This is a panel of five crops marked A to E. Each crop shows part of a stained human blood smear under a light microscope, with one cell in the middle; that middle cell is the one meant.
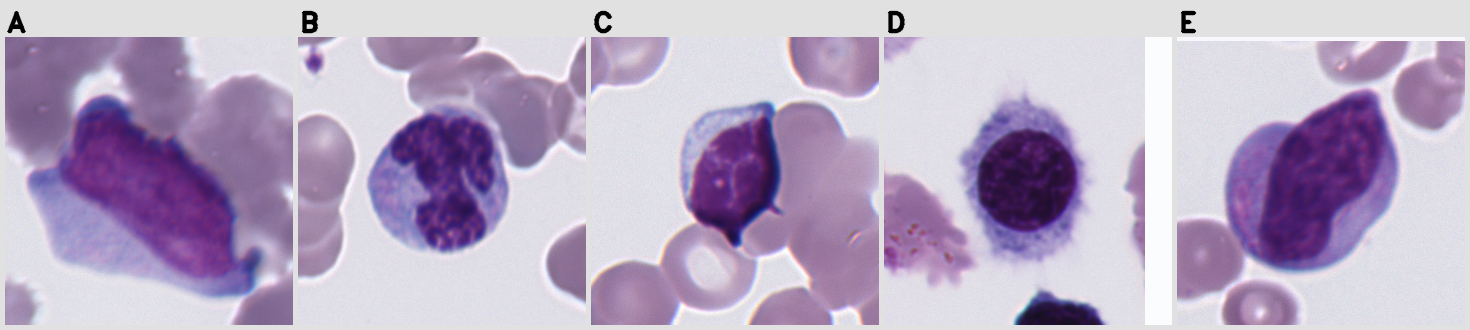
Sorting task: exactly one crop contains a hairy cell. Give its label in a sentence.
The crop with a hairy cell at its center is crop D.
